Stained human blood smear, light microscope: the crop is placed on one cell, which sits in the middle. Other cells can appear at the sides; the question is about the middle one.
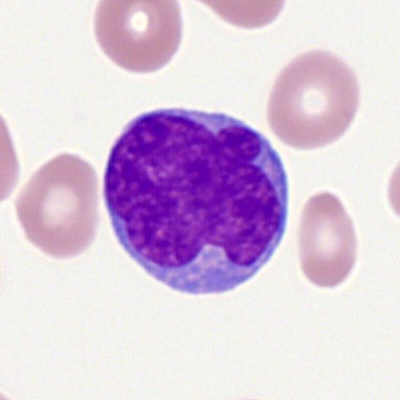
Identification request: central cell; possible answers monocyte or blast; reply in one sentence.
The cell at the central position in this crop is a blast.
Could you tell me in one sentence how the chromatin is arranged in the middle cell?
The chromatin in this nucleus is coarsely clumped.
